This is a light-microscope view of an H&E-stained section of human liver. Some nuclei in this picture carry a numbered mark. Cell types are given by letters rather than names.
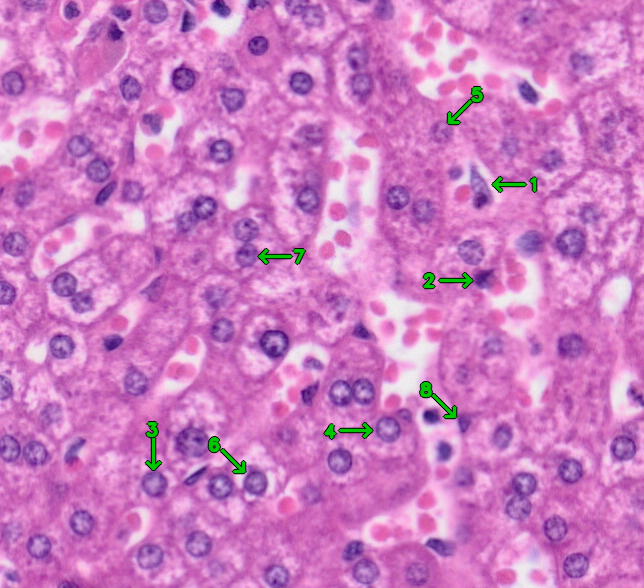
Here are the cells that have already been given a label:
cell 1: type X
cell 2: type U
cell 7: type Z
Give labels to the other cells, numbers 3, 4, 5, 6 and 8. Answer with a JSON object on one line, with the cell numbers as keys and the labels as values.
{"3": "type Z", "4": "type Z", "5": "type Z", "6": "type Z", "8": "type U"}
